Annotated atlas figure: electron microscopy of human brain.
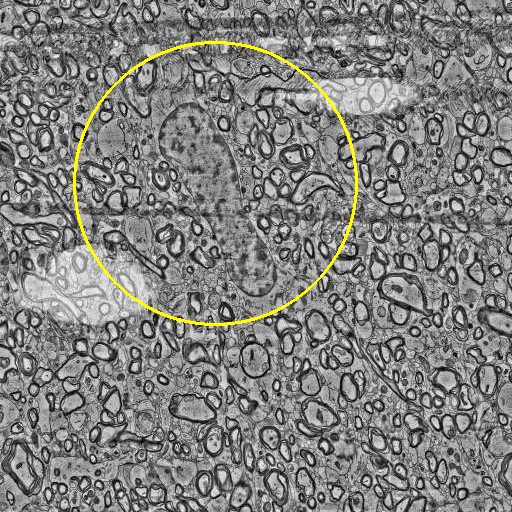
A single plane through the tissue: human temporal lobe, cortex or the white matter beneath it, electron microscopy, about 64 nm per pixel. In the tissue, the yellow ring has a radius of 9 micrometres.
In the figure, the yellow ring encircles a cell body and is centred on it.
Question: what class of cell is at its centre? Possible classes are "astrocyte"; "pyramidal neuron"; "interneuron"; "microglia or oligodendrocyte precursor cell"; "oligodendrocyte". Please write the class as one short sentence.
The yellow ring is drawn around a microglial cell or oligodendrocyte precursor cell.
